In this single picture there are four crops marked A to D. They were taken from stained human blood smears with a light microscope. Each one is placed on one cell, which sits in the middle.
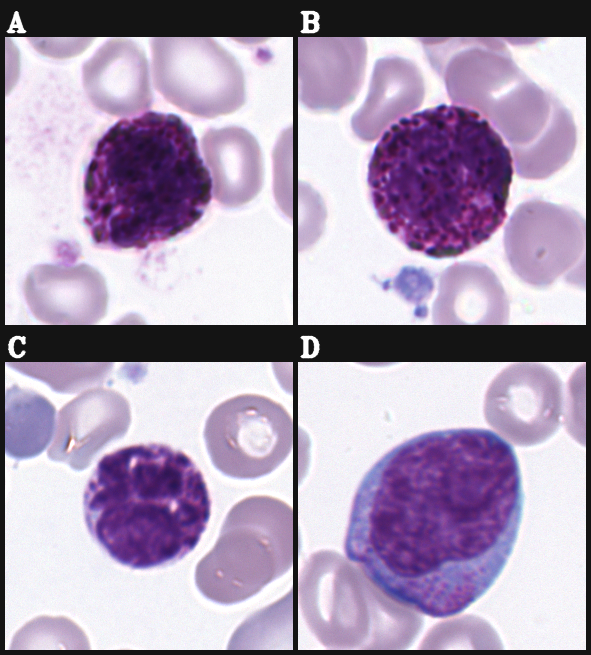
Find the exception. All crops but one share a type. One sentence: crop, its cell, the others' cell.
The exception in this group is crop D, a promyelocyte, and the others are all basophils.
